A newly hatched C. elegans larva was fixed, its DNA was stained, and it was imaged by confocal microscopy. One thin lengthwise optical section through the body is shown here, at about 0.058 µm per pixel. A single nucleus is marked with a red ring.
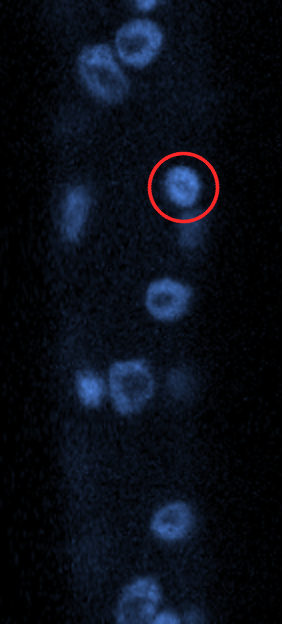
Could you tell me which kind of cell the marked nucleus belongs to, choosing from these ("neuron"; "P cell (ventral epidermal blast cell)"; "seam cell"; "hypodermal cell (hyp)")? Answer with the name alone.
P cell (ventral epidermal blast cell)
